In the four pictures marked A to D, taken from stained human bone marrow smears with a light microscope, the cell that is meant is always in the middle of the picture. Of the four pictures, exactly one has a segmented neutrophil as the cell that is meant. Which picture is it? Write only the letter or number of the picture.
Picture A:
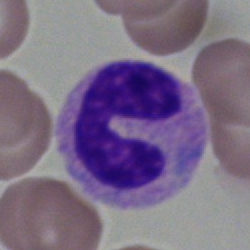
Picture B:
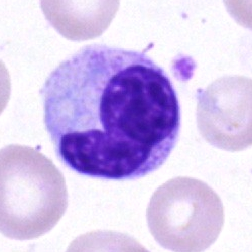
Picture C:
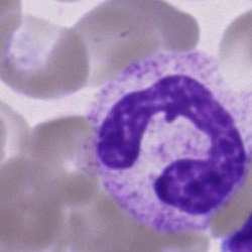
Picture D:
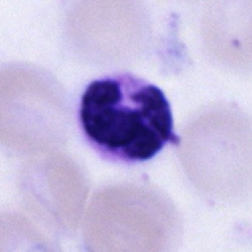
D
